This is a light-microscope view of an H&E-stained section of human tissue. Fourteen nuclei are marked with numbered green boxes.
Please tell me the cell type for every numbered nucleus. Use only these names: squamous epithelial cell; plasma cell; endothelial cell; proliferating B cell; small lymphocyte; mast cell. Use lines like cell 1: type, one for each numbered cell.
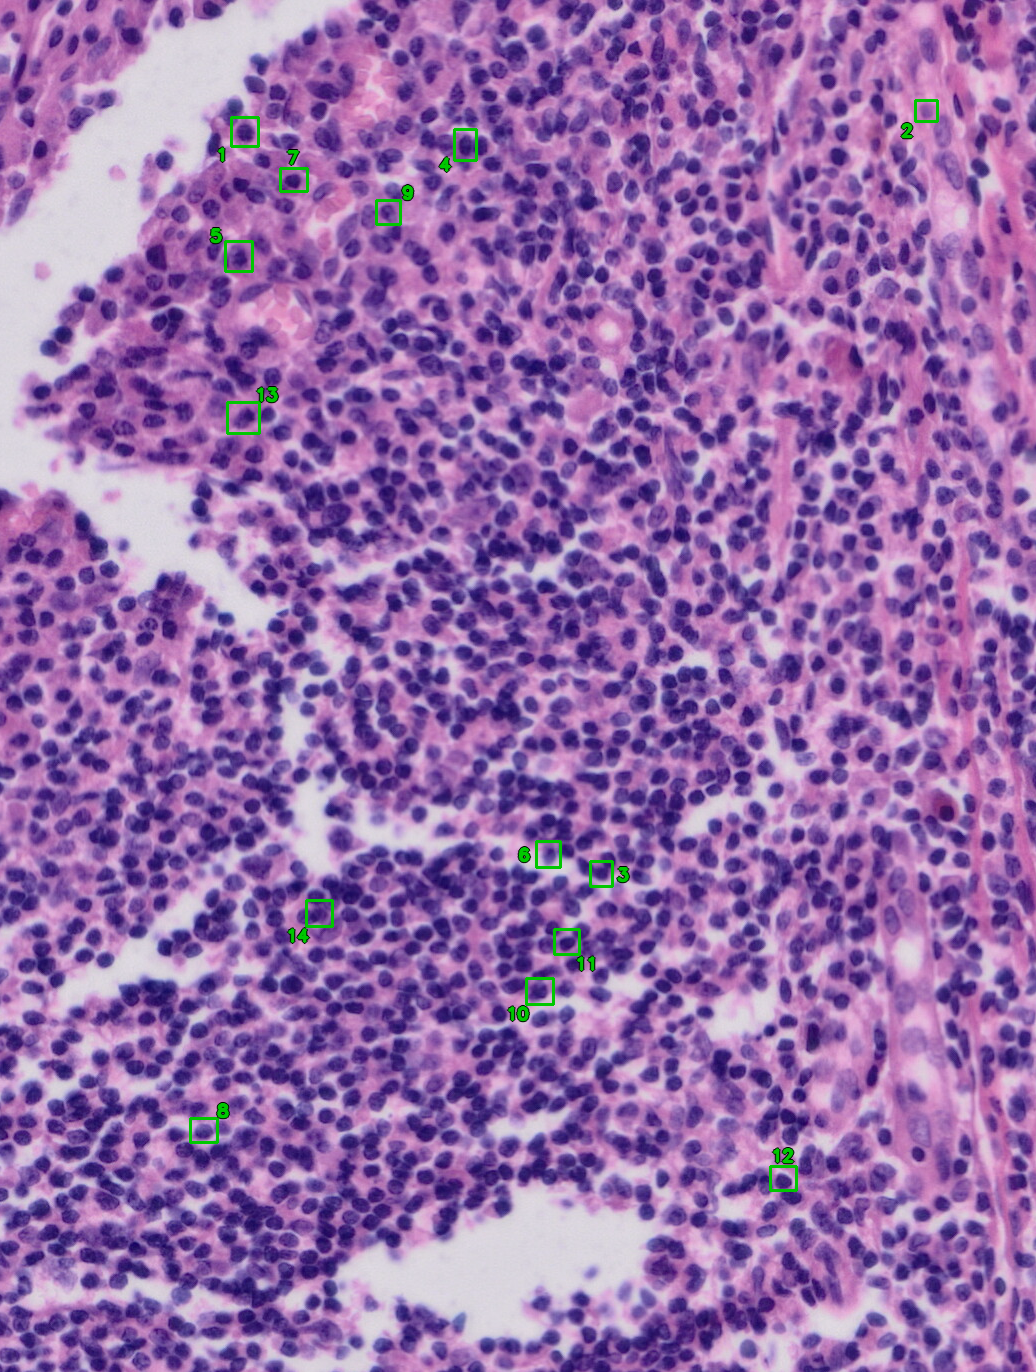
cell 1: plasma cell
cell 2: endothelial cell
cell 3: small lymphocyte
cell 4: plasma cell
cell 5: plasma cell
cell 6: small lymphocyte
cell 7: plasma cell
cell 8: small lymphocyte
cell 9: plasma cell
cell 10: small lymphocyte
cell 11: small lymphocyte
cell 12: small lymphocyte
cell 13: plasma cell
cell 14: small lymphocyte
